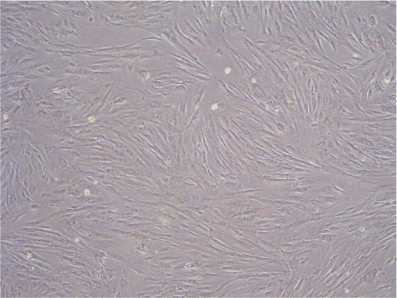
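The cells are elongated and spindle-shaped, fibroblast-like, with tapering ends. They lie side by side in parallel bundles that sweep across the field in swirling, stream-like arrays. A few small rounded, bright cells sit scattered on top of the monolayer.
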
